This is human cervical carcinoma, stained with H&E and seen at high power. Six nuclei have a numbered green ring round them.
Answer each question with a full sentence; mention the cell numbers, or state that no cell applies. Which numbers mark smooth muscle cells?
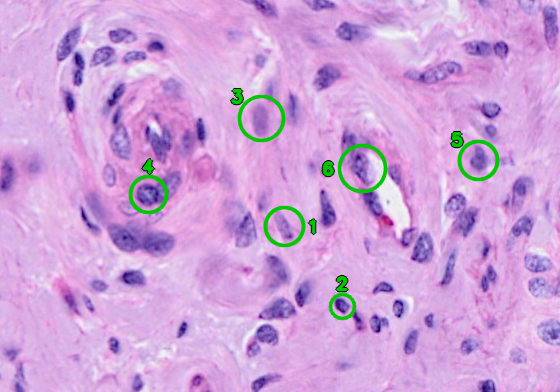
Cell 4 alone, of all the numbered cells, is a smooth muscle cell.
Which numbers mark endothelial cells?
Cell number 6 alone is an endothelial cell; the rest are not.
